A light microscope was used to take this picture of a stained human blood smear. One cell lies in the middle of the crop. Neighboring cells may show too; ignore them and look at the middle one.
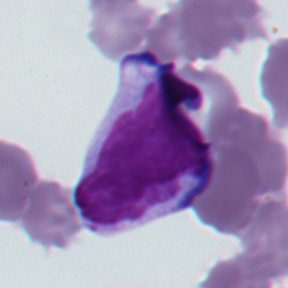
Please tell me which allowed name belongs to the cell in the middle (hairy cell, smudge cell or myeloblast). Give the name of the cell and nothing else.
myeloblast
